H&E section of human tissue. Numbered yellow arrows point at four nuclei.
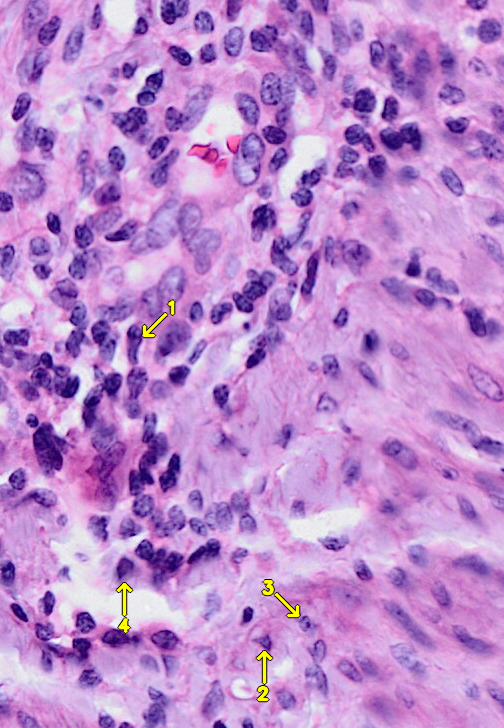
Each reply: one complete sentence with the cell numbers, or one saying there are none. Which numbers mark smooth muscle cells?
The cells numbered 2 and 3 are typed as smooth muscle cells.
